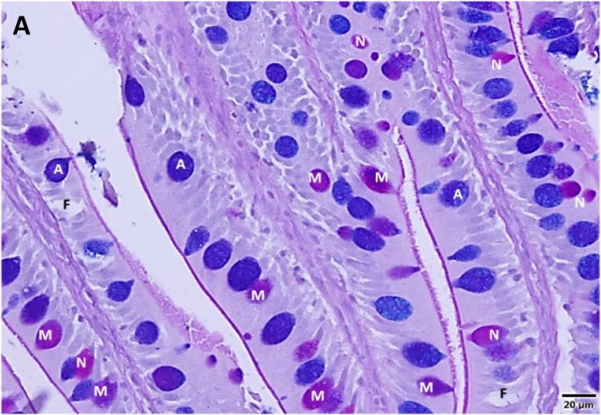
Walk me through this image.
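This is the lining of the intestine, with long mucosal folds covered by tall columnar epithelial cells among which many goblet cells are scattered. The goblet cells are oval or cup-shaped and differ in their content: many are filled with dark blue material, others with magenta-pink or purple material, and a few appear empty and unstained. The stained goblet cells lie at various heights within the epithelium.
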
